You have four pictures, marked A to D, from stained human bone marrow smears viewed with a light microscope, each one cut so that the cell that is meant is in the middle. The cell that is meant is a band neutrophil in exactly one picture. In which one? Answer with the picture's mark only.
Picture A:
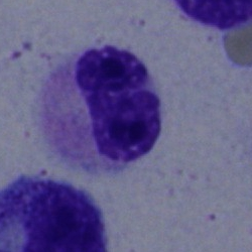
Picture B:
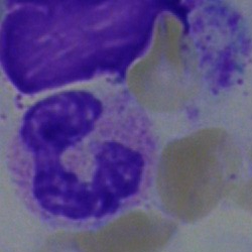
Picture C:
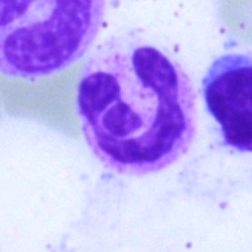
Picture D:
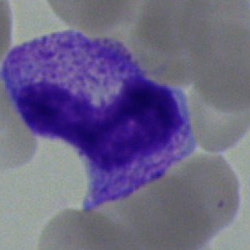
D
